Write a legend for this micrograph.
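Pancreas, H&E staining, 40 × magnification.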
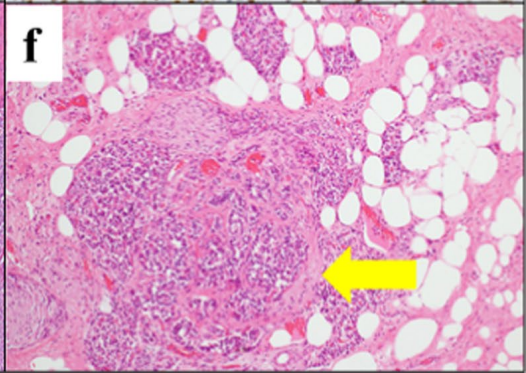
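A rounded, compact cluster of islet cells lies in the middle of the field, enclosed by a thin rim of pink fibrous tissue. Around it the tissue is largely taken up by large empty fat cells, with a few small groups of purple-staining cells and small blood vessels among them.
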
